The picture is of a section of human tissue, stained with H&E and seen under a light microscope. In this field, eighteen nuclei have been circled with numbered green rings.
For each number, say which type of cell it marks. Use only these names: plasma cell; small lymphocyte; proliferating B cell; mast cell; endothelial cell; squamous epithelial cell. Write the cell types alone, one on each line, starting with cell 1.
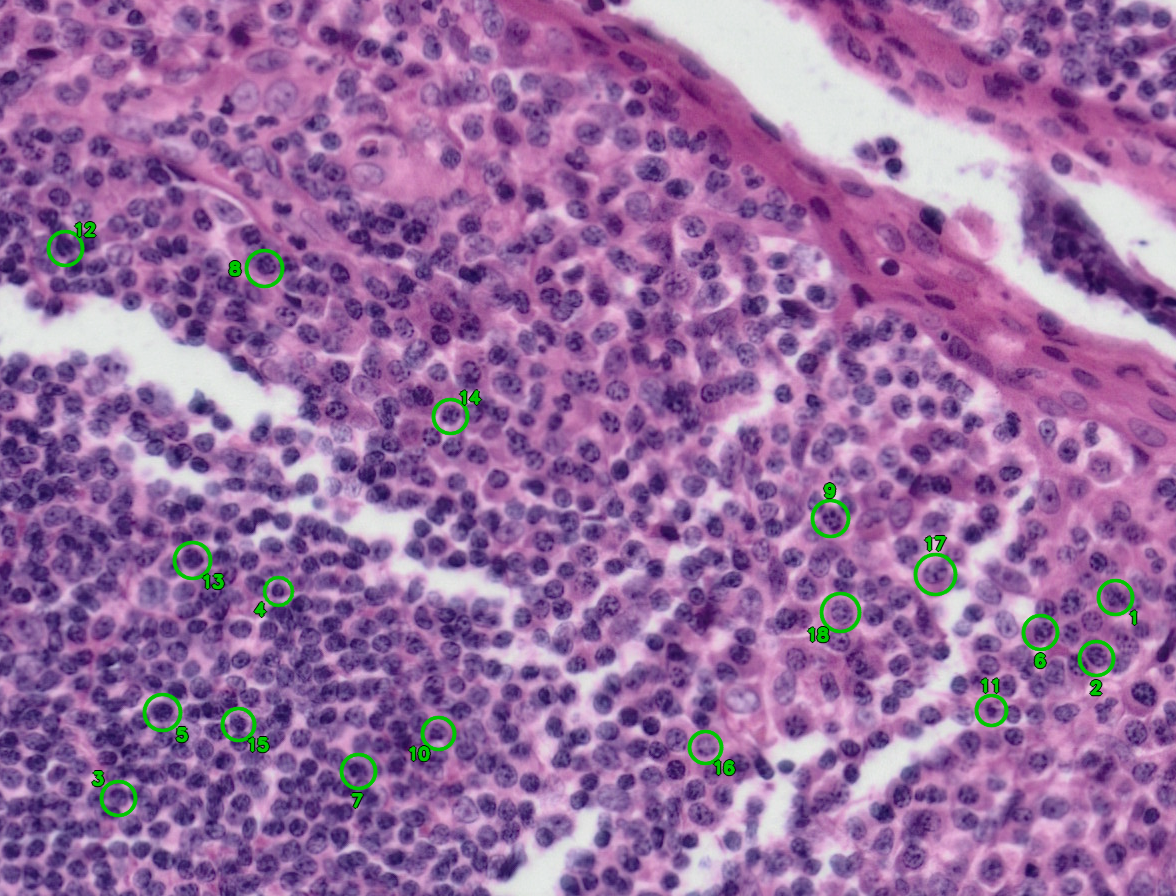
plasma cell
plasma cell
small lymphocyte
small lymphocyte
small lymphocyte
plasma cell
small lymphocyte
plasma cell
plasma cell
small lymphocyte
plasma cell
small lymphocyte
small lymphocyte
plasma cell
small lymphocyte
plasma cell
plasma cell
plasma cell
